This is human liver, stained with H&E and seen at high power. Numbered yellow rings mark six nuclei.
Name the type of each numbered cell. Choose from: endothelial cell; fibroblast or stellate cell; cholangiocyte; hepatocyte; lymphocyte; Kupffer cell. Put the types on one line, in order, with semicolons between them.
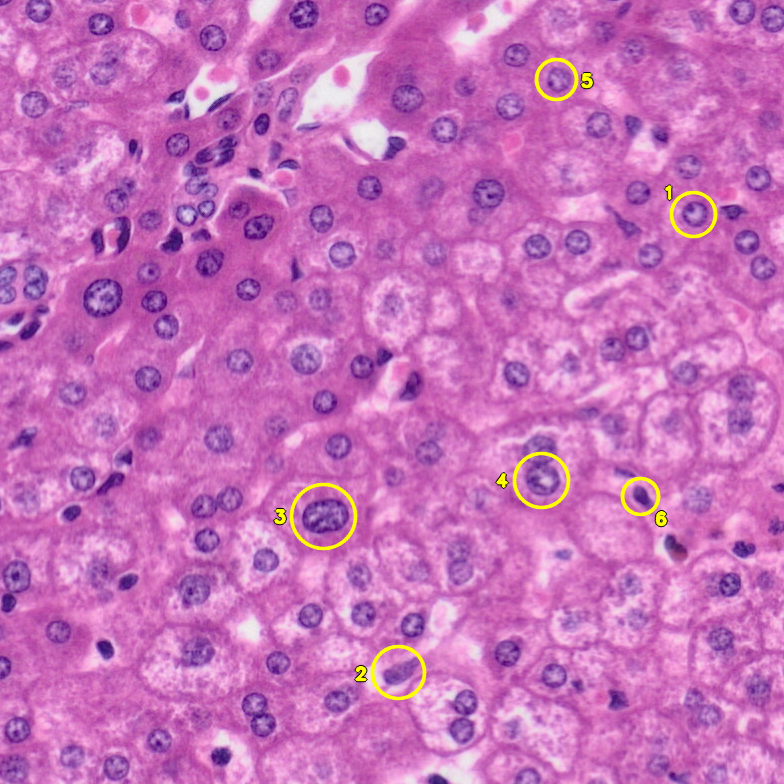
hepatocyte; Kupffer cell; hepatocyte; hepatocyte; hepatocyte; lymphocyte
